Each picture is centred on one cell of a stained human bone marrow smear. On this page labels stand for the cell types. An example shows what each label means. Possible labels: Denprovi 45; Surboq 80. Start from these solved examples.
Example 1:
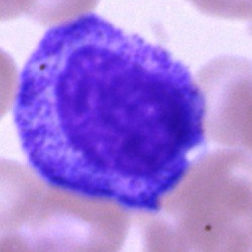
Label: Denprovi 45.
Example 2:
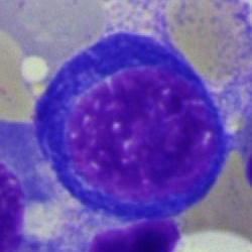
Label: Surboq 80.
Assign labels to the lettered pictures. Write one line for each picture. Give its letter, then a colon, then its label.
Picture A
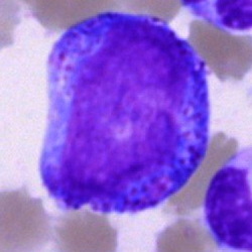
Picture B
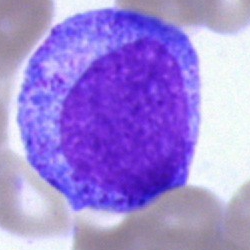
A: Denprovi 45.
B: Denprovi 45.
